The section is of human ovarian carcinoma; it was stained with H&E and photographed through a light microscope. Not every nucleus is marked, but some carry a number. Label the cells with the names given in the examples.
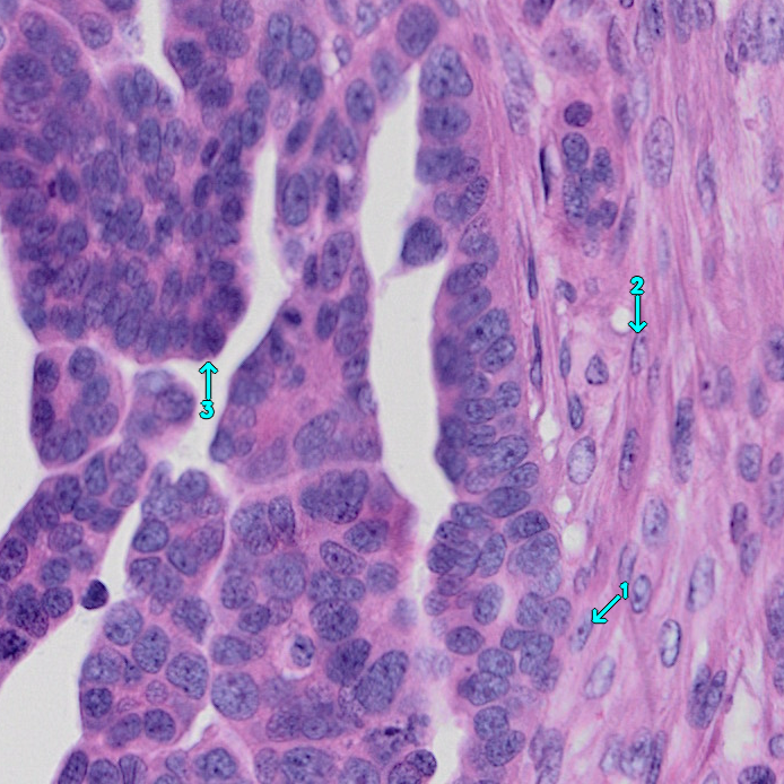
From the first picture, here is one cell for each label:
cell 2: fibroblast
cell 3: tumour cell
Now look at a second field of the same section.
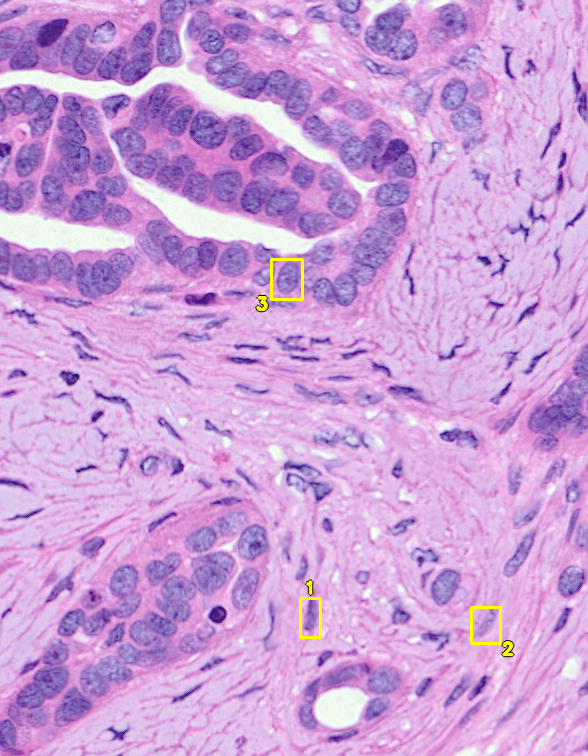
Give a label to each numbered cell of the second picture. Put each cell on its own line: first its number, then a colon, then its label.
1: fibroblast
2: fibroblast
3: tumour cell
